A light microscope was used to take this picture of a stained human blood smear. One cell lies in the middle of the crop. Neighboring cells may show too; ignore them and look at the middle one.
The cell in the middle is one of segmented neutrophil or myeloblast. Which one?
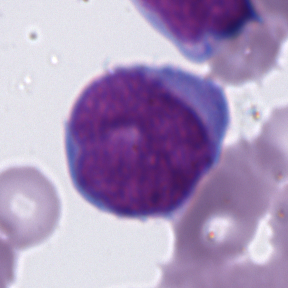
myeloblast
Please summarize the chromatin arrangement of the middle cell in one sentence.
The chromatin is fine, with no coarse clumping anywhere.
